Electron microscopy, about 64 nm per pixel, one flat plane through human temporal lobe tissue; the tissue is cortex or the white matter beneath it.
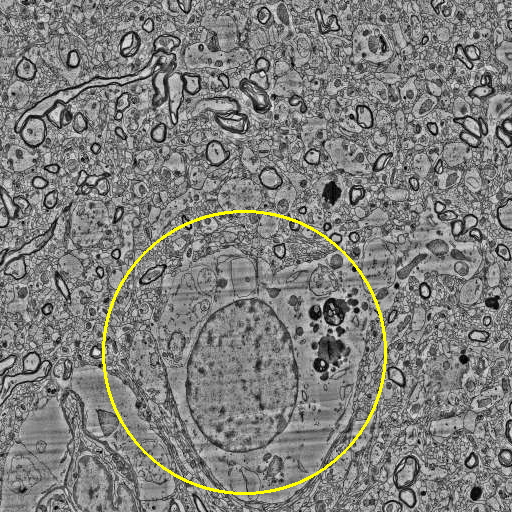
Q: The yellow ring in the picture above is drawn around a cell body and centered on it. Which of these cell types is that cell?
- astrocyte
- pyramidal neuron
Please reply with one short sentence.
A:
The cell body at the ring's center belongs to an astrocyte.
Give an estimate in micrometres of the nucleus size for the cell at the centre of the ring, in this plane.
Approximately 10 micrometres long and 7 micrometres wide, in this plane.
